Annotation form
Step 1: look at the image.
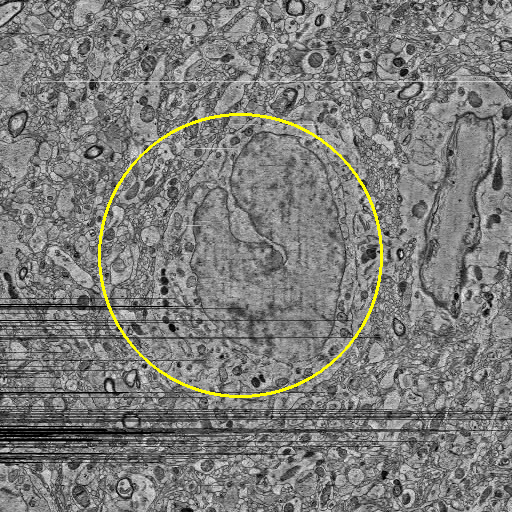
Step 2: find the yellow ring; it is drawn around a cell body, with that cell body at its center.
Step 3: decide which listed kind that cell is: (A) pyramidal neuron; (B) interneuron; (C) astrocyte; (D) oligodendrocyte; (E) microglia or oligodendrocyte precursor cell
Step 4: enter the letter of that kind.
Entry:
B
